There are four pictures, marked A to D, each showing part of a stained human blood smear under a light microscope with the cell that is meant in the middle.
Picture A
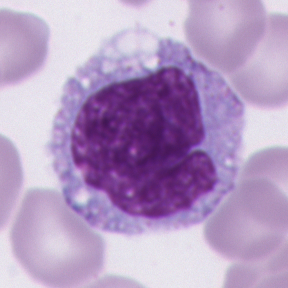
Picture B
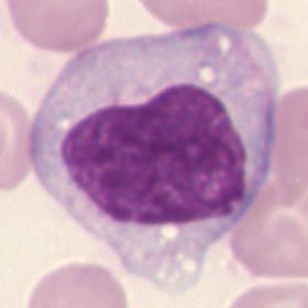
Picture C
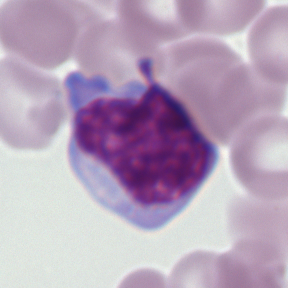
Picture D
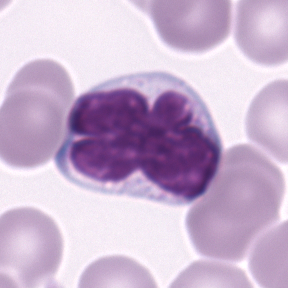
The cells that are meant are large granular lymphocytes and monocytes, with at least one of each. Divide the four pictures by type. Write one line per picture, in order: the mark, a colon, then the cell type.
A: monocyte
B: monocyte
C: large granular lymphocyte
D: large granular lymphocyte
